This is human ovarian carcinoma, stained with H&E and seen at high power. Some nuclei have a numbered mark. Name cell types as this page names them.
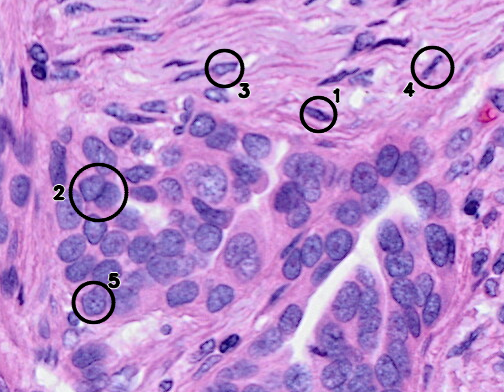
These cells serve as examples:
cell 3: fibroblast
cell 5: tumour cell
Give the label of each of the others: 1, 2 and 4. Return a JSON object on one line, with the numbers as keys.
{"1": "fibroblast", "2": "tumour cell", "4": "fibroblast"}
